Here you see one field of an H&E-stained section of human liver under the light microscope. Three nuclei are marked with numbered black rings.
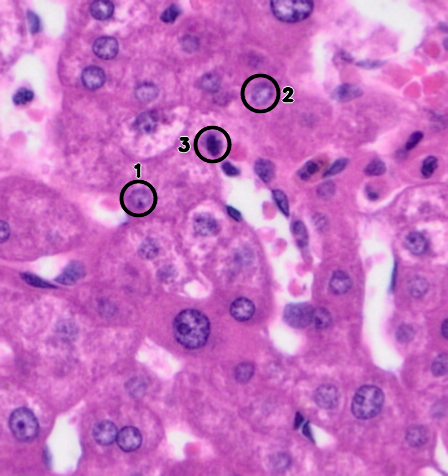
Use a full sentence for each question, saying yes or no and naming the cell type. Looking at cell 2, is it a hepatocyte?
Yes, the cell at marker 2 is a hepatocyte.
